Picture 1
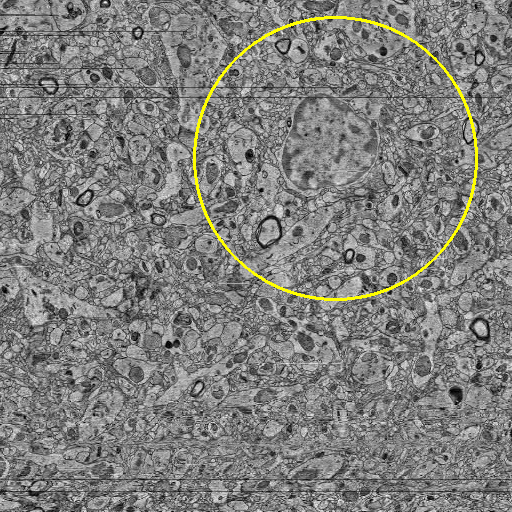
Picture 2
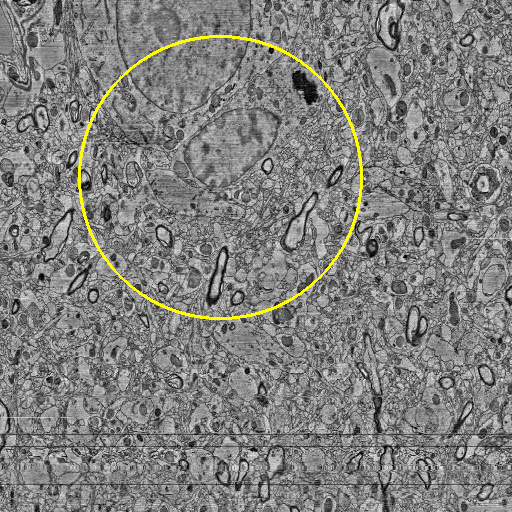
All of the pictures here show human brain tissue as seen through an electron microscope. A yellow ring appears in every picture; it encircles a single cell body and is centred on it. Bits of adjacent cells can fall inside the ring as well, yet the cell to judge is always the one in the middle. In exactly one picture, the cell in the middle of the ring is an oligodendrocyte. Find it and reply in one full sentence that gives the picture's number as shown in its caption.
Of all the pictures, picture 2 has the right cell at the centre of its ring.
